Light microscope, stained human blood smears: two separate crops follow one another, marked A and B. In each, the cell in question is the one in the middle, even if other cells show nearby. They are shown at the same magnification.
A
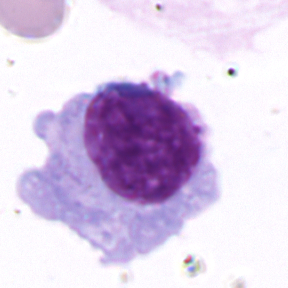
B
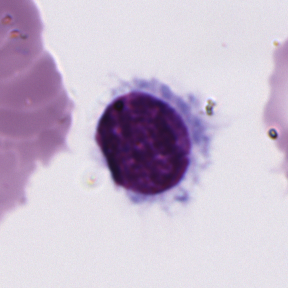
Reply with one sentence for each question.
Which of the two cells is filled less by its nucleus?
It is the cell in picture A that is filled less by its nucleus.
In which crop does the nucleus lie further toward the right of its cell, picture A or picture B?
It is the nucleus in picture A that lies further toward the right of its cell.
